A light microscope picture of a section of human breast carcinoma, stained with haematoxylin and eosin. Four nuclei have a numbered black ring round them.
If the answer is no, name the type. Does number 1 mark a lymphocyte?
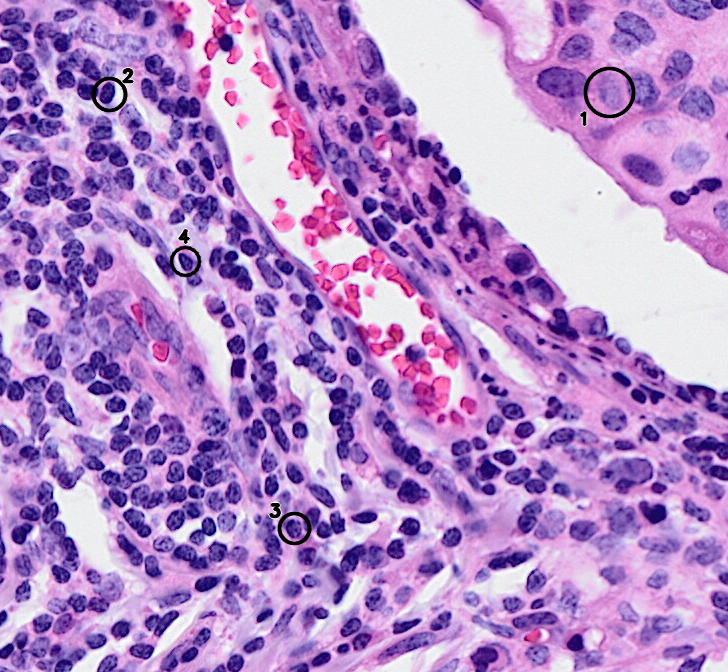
No, it is a carcinoma cell.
